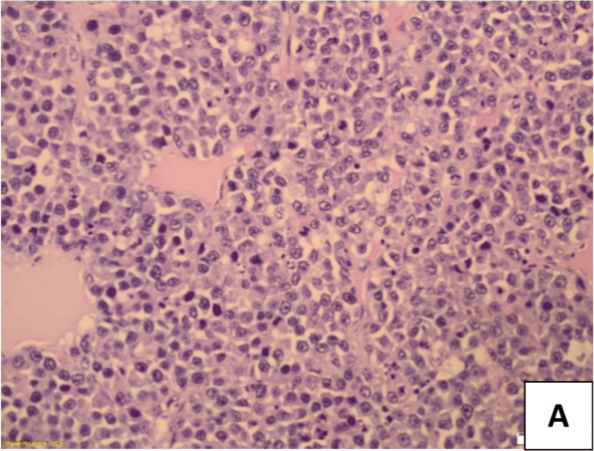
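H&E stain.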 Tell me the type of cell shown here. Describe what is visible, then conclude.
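Round to oval cells lie in dense sheets with little stroma between them. Nuclei are round, often eccentric, with coarse chromatin and visible nucleoli. Cells have a moderate rim of purple-pink cytoplasm. So: atypical plasma cells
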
